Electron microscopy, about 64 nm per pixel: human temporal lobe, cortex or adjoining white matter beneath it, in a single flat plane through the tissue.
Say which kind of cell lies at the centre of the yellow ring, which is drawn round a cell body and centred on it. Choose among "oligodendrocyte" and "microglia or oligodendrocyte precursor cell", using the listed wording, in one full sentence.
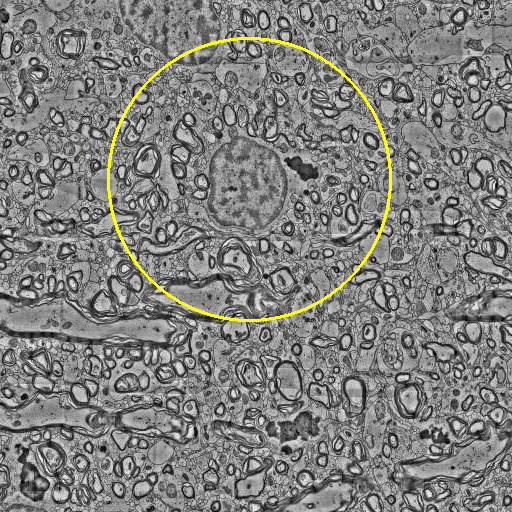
Going by the list, the cell at the yellow ring's centre is an oligodendrocyte.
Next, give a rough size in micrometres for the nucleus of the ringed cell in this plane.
Roughly 6 micrometres across, measured in this plane.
